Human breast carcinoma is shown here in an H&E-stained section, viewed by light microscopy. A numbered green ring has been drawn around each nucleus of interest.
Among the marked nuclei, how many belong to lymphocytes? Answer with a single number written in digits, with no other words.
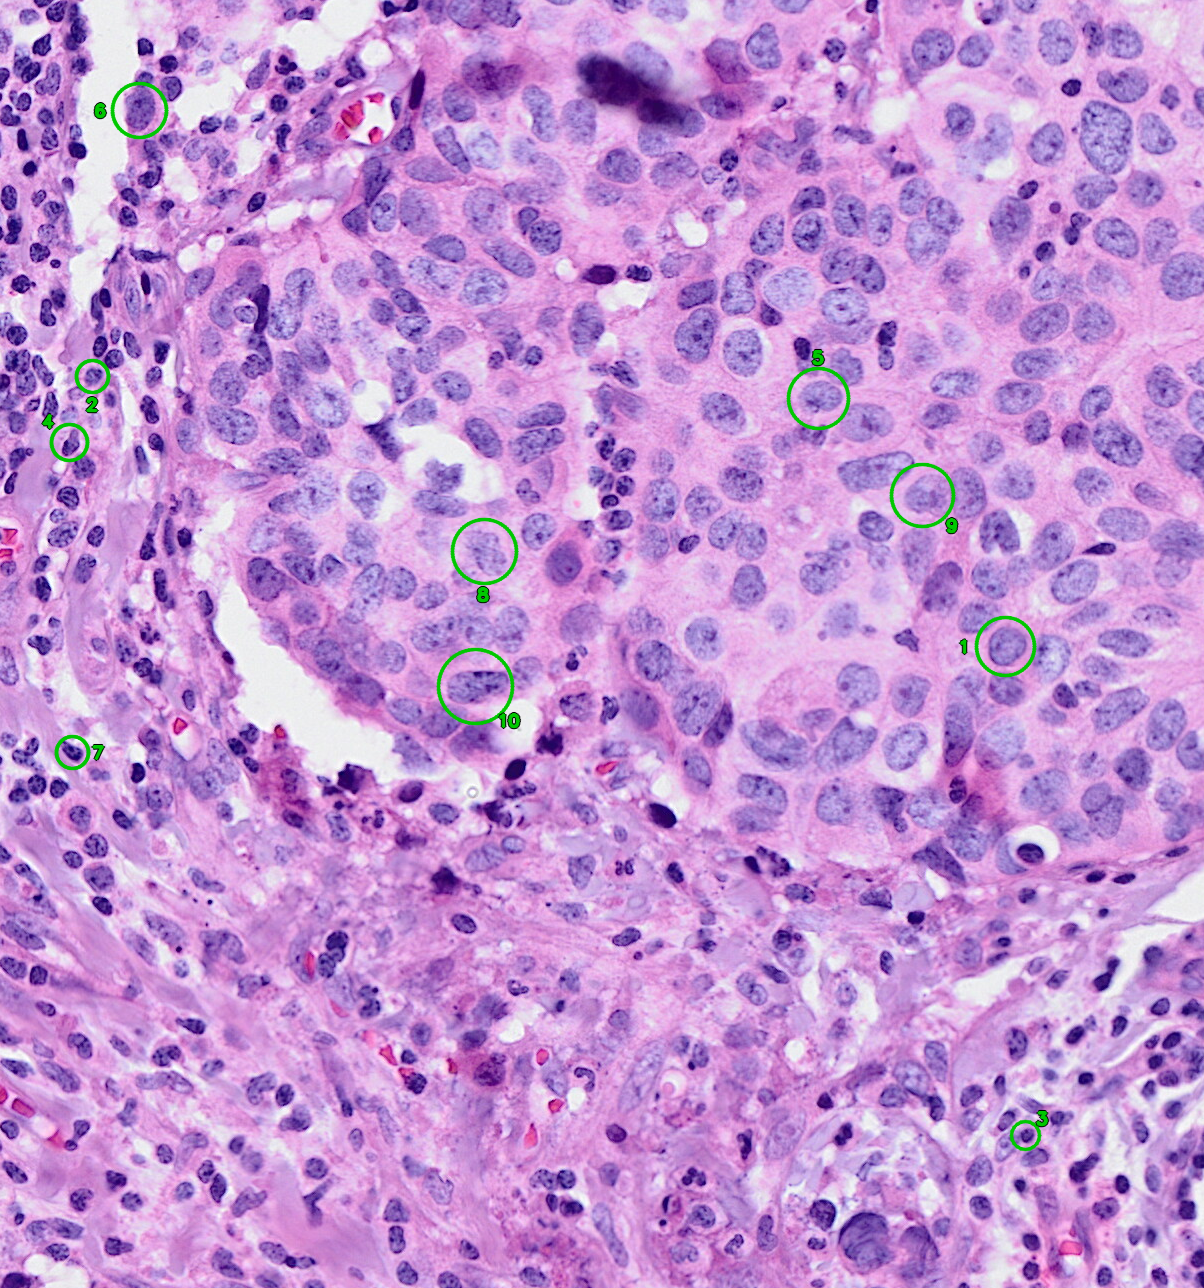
4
